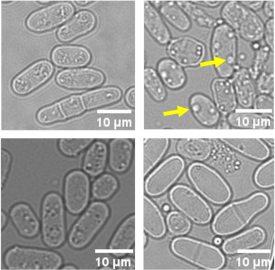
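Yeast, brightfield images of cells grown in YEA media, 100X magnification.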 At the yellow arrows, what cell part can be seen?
enlarged vacuole-like structures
